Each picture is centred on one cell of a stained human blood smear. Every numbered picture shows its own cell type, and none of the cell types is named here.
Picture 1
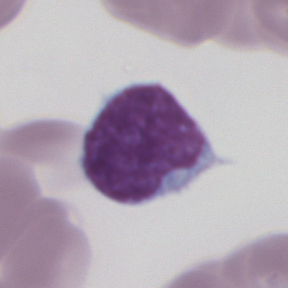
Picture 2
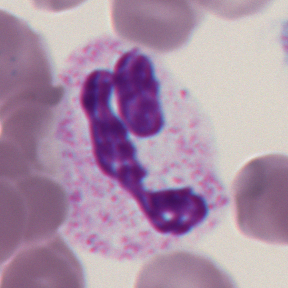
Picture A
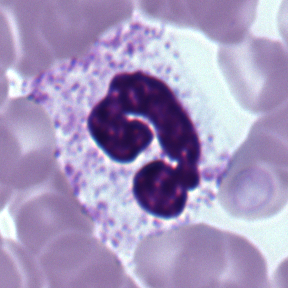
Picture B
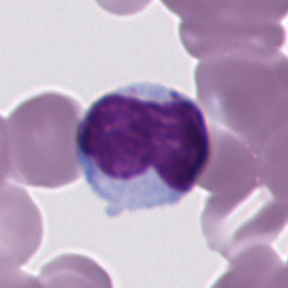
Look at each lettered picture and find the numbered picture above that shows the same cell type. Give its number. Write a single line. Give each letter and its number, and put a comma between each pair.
A 2, B 1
